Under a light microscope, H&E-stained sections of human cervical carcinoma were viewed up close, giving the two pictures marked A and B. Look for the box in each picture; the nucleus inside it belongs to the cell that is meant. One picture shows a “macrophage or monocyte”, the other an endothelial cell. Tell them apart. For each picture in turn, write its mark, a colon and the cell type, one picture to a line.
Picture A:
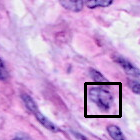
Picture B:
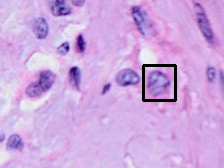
A: macrophage or monocyte
B: endothelial cell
